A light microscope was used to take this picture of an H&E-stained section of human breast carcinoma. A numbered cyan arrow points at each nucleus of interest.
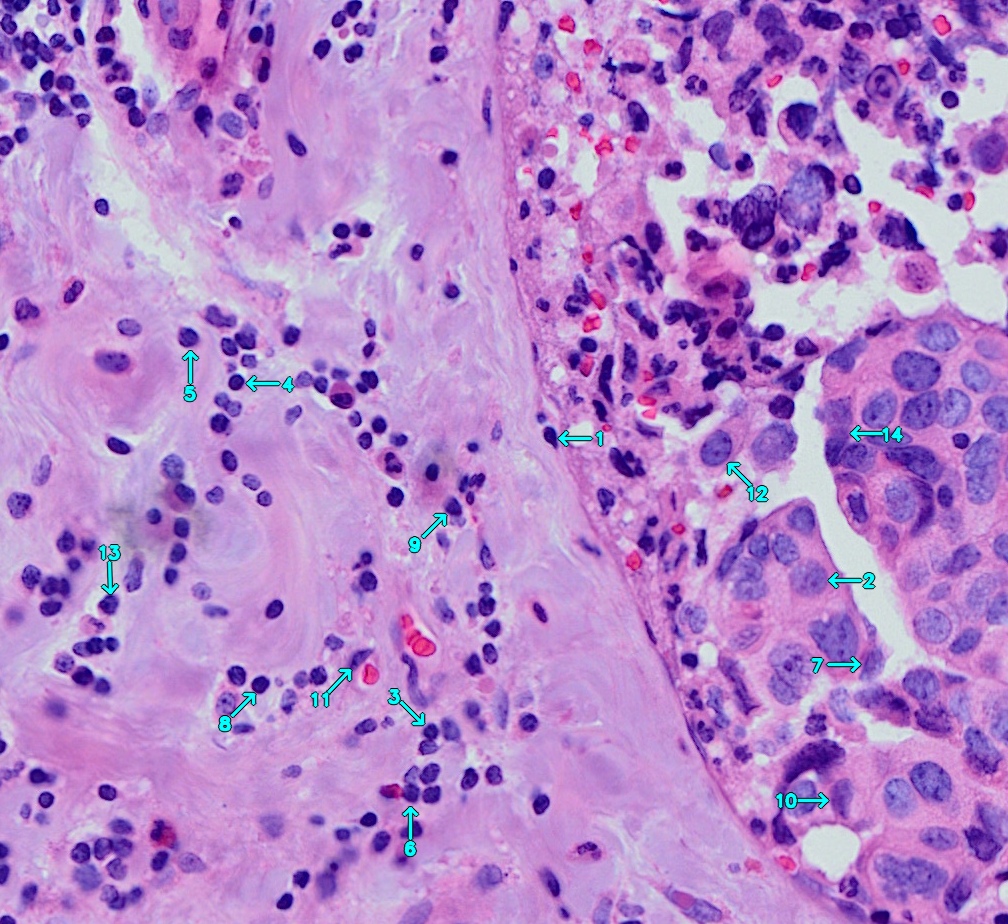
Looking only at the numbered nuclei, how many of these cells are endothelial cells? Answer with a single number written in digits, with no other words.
1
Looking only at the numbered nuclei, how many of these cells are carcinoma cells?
5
